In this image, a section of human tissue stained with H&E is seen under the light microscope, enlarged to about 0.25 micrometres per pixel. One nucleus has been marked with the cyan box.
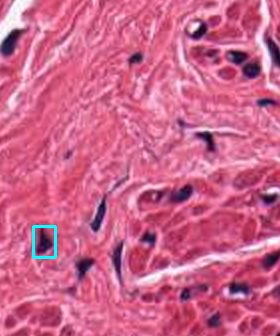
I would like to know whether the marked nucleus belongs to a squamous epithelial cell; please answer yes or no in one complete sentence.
No, the nucleus that is marked belongs to a supporting cell rather than to a squamous epithelial cell.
